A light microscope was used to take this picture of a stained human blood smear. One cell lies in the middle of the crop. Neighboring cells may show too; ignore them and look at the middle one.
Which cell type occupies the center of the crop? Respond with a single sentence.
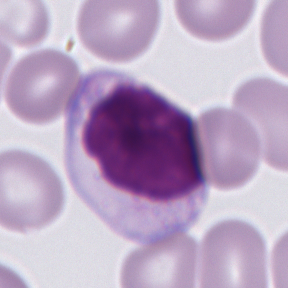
The central cell in this smear crop is a large granular lymphocyte.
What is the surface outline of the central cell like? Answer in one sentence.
The outline traces a smooth curve with no projections along it.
